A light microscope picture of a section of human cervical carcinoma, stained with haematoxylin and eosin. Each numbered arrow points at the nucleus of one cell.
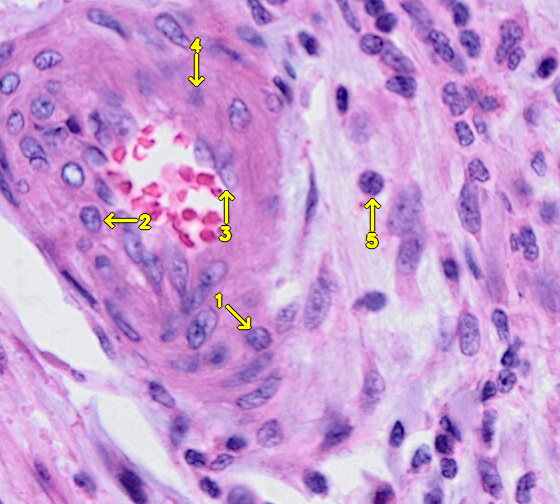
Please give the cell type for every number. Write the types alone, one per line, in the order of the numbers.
smooth muscle cell
smooth muscle cell
endothelial cell
smooth muscle cell
lymphocyte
